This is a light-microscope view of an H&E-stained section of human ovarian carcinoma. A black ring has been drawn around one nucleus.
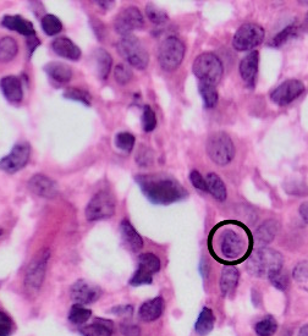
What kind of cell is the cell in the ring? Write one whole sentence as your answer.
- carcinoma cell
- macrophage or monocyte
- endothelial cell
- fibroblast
In this section, the cell in the ring is a macrophage or monocyte.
